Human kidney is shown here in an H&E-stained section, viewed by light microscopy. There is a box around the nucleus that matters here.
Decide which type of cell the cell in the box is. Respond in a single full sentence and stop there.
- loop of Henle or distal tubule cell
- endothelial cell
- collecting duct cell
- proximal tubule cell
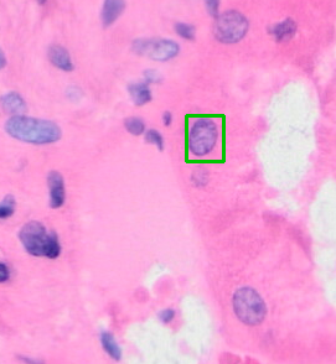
Within the stained tissue, the cell in the box is a proximal tubule cell.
